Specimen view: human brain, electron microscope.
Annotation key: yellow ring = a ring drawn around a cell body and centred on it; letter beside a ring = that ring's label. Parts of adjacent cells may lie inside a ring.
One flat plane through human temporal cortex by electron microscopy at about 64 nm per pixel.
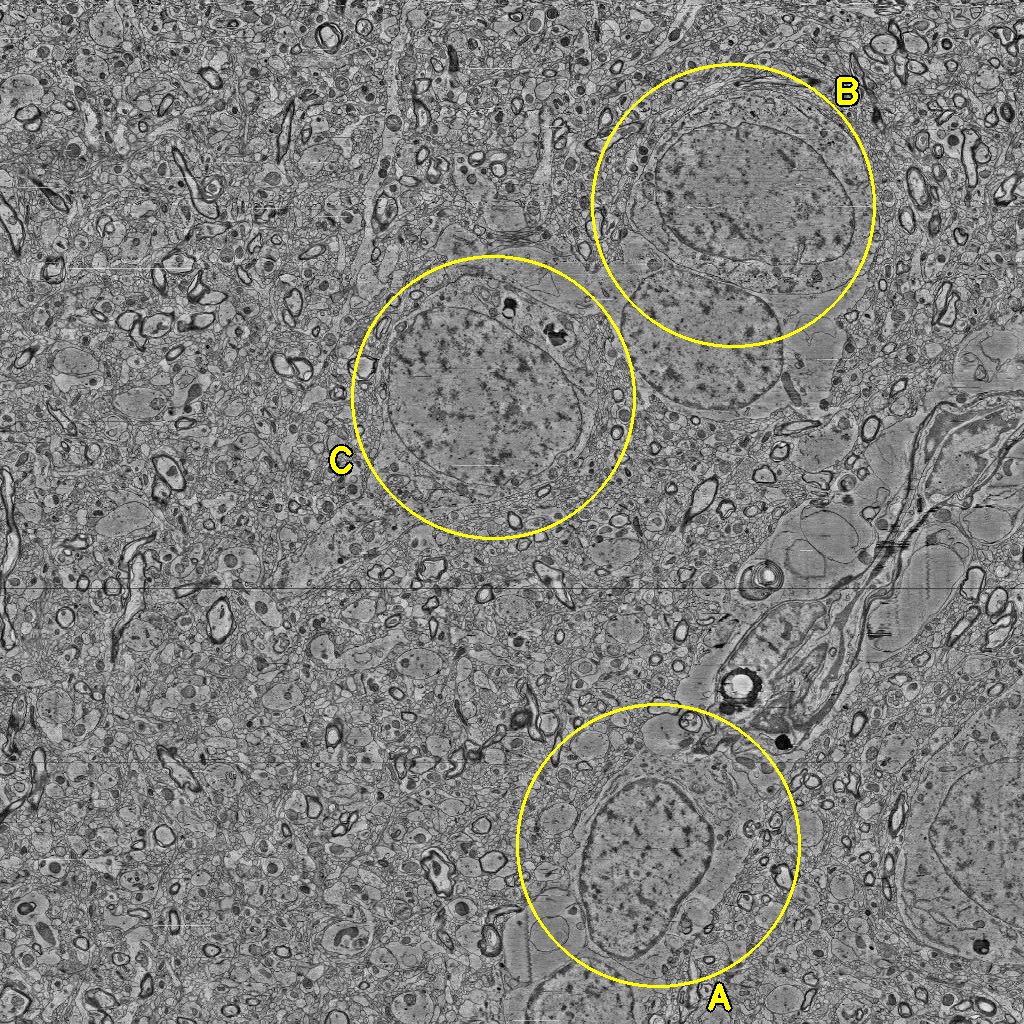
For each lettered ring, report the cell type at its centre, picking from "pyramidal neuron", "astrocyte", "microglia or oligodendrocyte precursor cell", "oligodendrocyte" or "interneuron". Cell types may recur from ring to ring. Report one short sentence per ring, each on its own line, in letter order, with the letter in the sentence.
The cell at the centre of ring A is a microglial cell or oligodendrocyte precursor cell.
The cell at the centre of ring B is a pyramidal neuron.
The cell at the centre of ring C is a pyramidal neuron.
